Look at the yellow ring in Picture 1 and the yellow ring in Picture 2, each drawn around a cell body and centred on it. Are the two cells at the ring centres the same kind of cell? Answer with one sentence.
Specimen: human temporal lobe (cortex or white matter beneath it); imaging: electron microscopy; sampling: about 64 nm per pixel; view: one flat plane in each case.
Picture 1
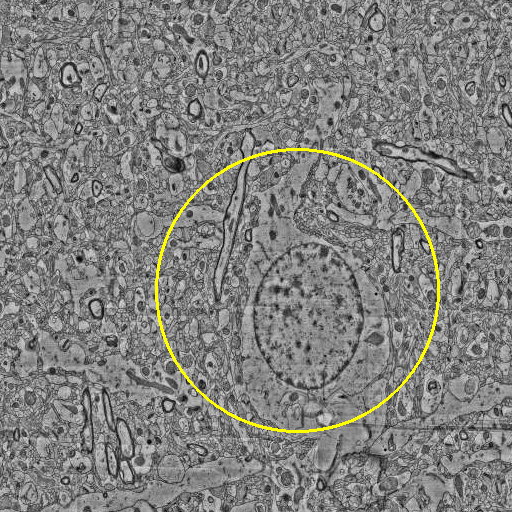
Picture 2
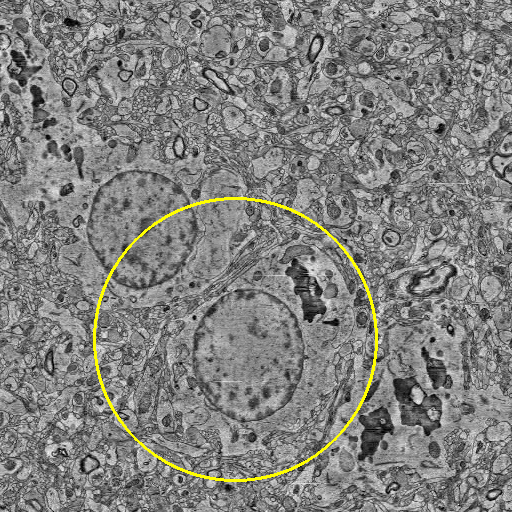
Yes, both are the same kind of cell.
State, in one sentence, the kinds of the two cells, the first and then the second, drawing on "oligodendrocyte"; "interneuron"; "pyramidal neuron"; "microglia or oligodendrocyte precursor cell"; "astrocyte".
The first and the second cell are each an astrocyte.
